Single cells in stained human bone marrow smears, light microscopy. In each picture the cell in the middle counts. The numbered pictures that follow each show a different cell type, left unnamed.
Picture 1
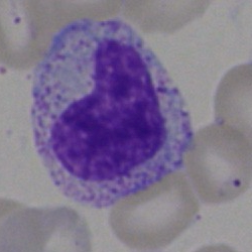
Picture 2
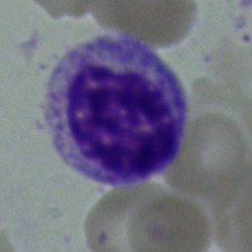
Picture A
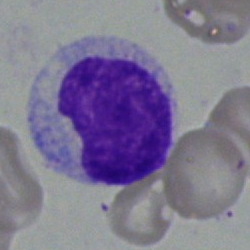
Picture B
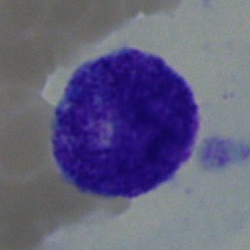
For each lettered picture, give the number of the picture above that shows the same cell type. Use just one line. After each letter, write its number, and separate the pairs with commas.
A 1, B 2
